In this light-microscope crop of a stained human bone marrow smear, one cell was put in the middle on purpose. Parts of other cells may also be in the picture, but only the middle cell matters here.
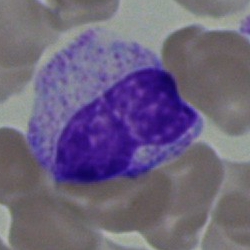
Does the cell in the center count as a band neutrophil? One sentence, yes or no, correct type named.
Yes, a band neutrophil is the cell positioned in the middle of the field.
